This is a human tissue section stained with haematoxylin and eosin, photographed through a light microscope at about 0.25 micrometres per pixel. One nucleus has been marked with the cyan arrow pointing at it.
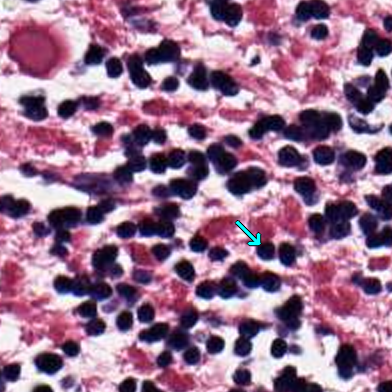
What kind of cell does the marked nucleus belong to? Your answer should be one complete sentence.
The mark identifies the nucleus of a cerebellar granule cell.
